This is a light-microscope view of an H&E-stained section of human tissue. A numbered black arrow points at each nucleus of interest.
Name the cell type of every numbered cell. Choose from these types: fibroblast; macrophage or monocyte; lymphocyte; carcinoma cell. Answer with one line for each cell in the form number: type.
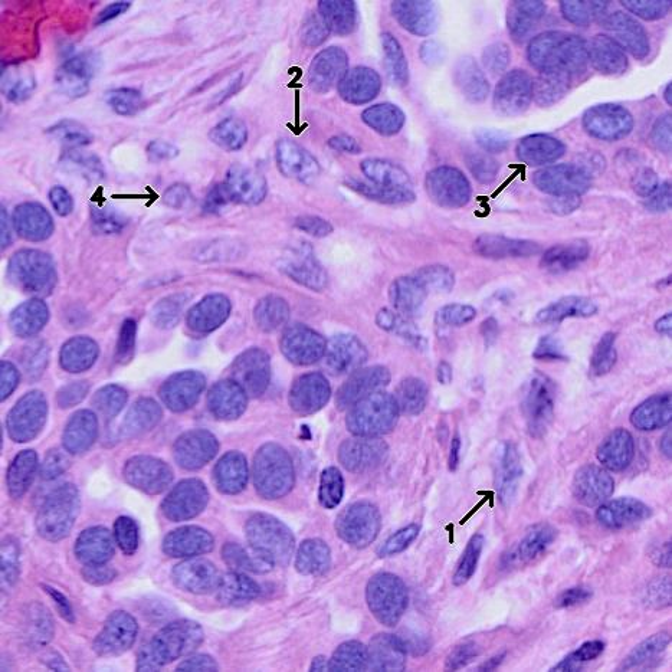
1: fibroblast
2: fibroblast
3: carcinoma cell
4: fibroblast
